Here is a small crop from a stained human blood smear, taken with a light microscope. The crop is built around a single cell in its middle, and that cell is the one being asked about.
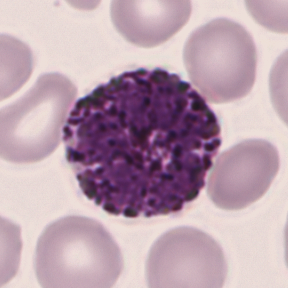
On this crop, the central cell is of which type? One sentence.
In the central position of this crop, the cell is a basophil.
